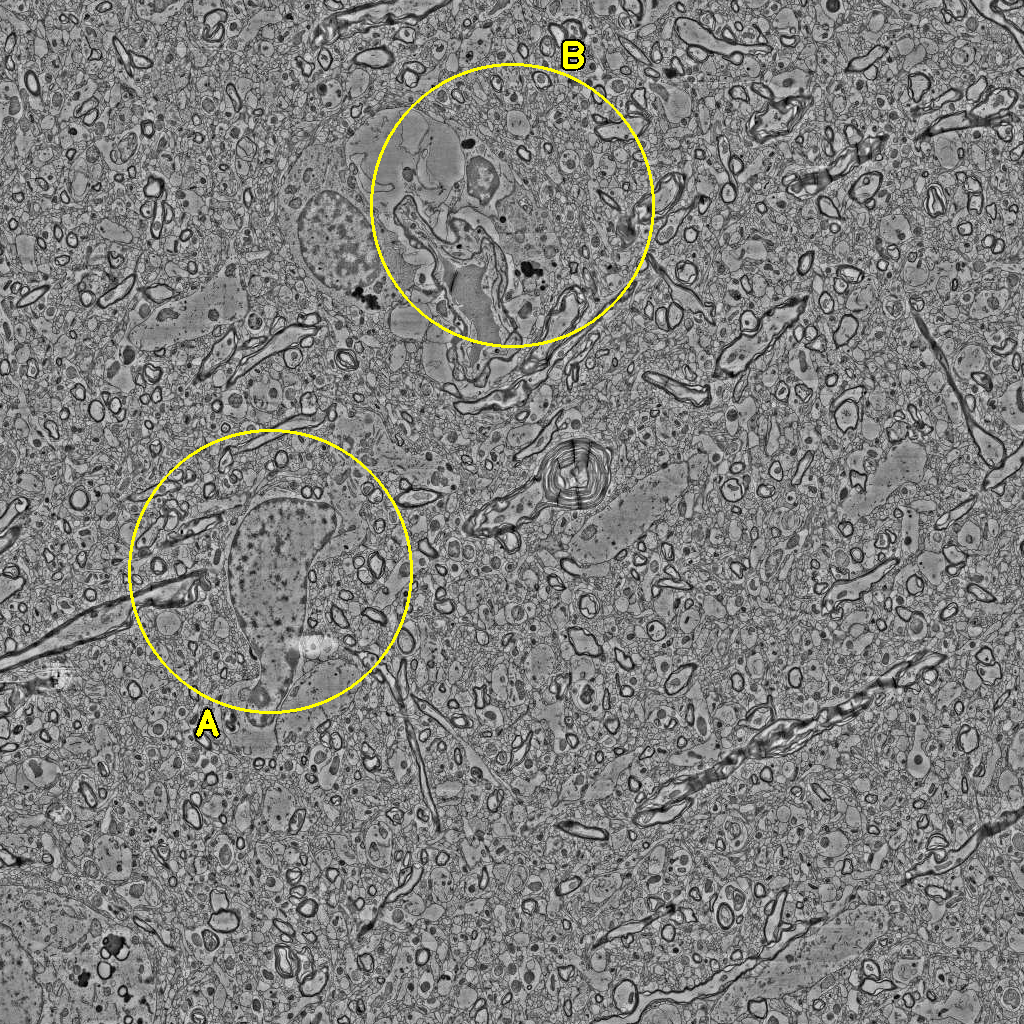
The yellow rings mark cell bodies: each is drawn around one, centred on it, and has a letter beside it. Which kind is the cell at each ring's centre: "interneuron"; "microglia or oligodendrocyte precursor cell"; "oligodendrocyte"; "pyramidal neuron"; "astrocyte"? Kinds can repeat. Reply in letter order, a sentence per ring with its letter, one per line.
At the centre of ring A lies a microglial cell or oligodendrocyte precursor cell.
At the centre of ring B lies an oligodendrocyte.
